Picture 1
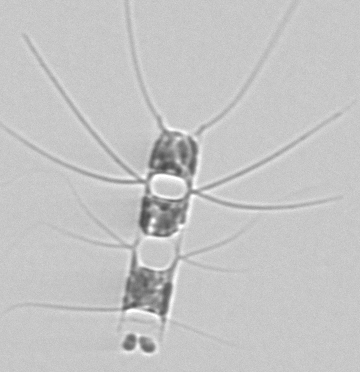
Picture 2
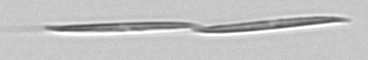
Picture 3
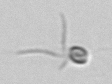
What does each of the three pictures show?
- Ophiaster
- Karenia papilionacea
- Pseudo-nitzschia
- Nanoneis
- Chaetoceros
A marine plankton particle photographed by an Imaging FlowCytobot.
1: Chaetoceros
2: Pseudo-nitzschia
3: Ophiaster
